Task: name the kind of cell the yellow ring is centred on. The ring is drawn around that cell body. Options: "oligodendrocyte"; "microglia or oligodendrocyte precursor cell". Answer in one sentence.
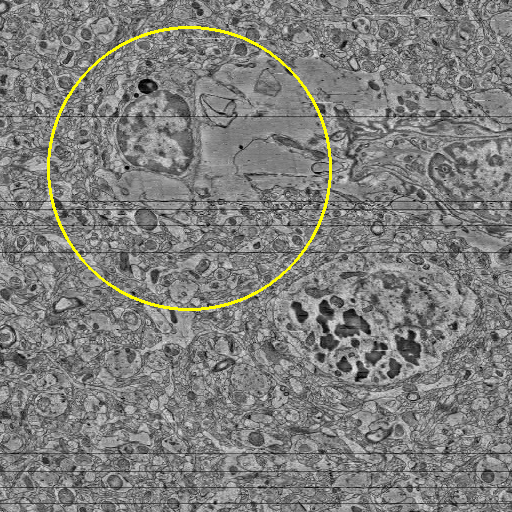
This cell body belongs to a microglial cell or oligodendrocyte precursor cell.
